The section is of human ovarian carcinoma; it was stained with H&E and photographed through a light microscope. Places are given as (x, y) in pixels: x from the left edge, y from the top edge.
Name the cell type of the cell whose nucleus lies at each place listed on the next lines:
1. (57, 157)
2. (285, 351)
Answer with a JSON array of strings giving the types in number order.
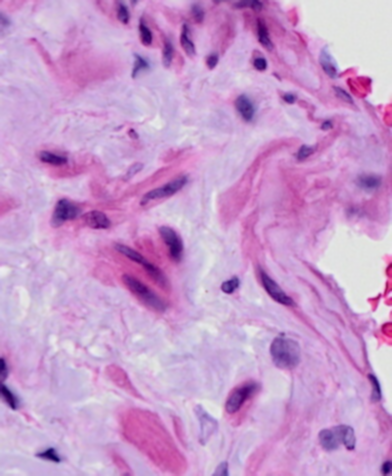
["smooth muscle cell", "fibroblast"]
